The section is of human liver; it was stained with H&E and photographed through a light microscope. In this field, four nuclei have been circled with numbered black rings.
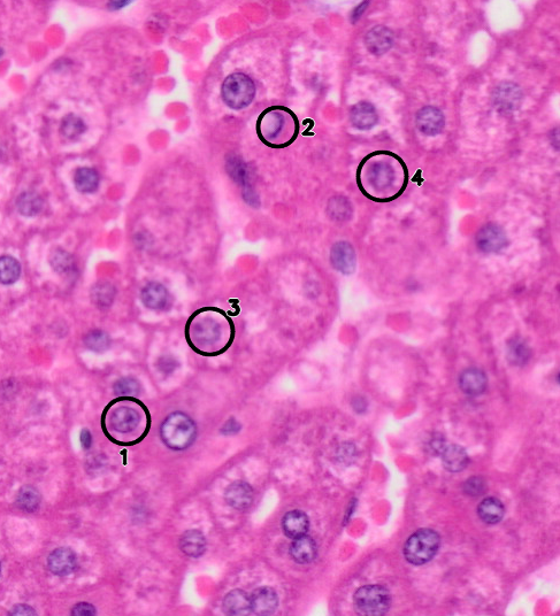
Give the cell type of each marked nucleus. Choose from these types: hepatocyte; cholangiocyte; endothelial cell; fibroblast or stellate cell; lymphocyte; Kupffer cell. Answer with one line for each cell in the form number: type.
1: hepatocyte
2: endothelial cell
3: hepatocyte
4: hepatocyte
